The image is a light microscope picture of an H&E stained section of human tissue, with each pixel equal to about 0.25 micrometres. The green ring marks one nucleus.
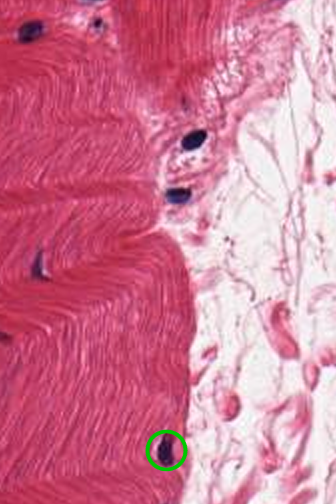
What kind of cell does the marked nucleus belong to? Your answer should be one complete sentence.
The marked nucleus is contained in a skeletal muscle fibre.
